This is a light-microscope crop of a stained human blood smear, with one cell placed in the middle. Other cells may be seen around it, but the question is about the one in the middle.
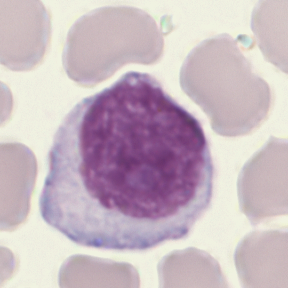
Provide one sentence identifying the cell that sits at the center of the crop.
The cell under consideration, at the middle of the crop, is a plasma cell.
